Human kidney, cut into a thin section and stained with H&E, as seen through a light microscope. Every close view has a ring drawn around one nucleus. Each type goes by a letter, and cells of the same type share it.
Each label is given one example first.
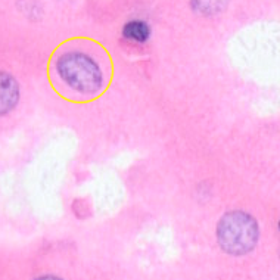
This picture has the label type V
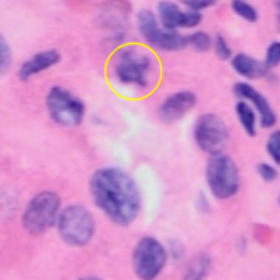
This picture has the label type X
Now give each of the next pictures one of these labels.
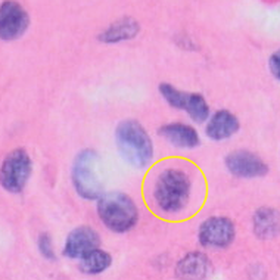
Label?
type X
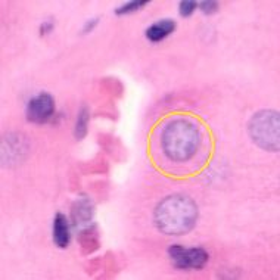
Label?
type V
